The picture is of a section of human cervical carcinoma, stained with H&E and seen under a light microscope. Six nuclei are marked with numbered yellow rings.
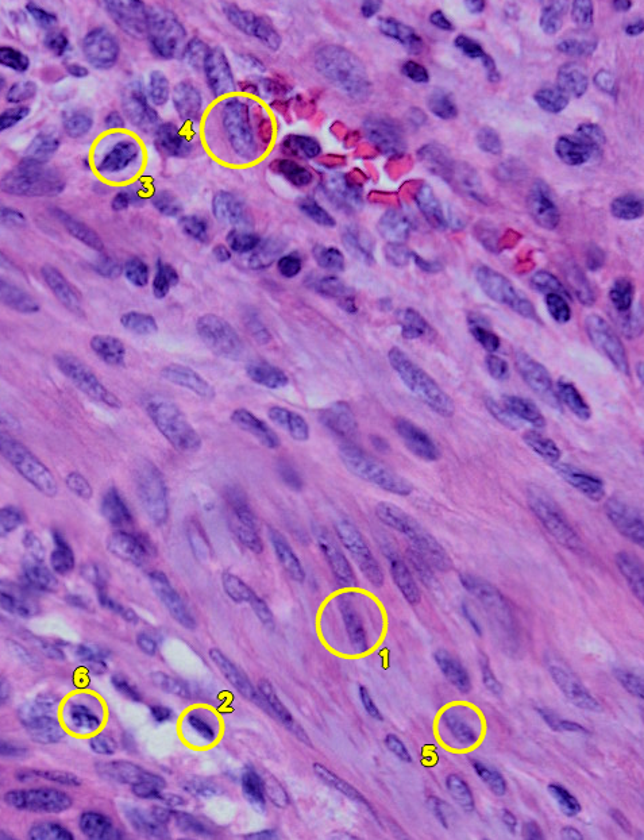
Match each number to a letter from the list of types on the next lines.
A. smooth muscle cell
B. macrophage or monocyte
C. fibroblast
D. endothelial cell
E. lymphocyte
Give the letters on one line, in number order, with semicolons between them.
A; E; E; D; A; E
